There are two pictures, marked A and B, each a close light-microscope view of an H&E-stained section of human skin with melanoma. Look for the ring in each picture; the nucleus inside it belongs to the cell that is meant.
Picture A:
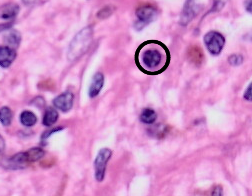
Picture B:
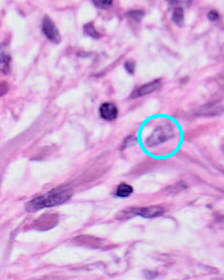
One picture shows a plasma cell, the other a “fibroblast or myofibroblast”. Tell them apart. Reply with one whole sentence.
The cell in picture A is a plasma cell, and the one in picture B is a “fibroblast or myofibroblast”.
